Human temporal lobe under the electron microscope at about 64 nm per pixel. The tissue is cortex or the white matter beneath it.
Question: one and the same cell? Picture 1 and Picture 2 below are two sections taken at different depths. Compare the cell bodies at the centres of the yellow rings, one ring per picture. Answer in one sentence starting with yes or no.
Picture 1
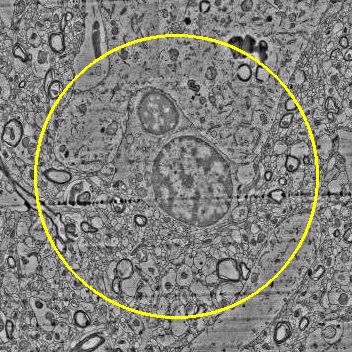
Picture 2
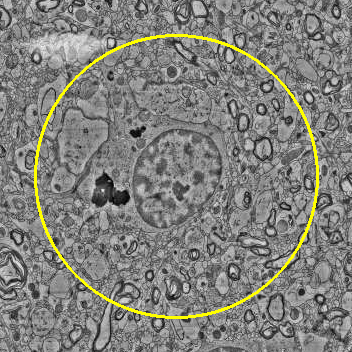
No, the two rings refer to two distinct cells.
